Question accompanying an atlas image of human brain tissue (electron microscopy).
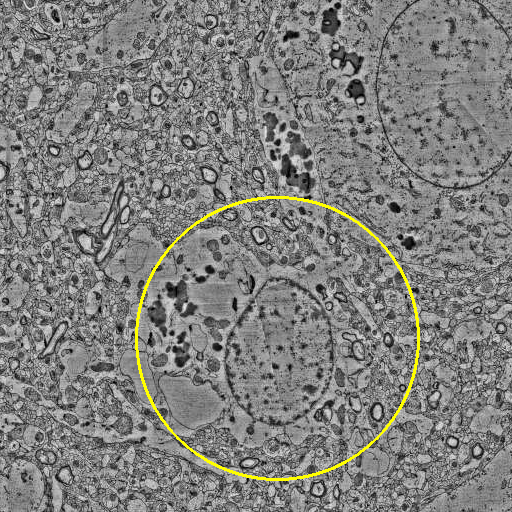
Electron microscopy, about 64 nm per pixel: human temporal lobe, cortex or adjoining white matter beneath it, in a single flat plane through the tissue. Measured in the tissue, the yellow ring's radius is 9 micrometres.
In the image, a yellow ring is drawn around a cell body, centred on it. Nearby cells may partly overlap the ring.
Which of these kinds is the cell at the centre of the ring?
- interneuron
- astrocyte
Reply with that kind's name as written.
astrocyte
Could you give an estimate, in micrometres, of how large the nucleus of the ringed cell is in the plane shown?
In this plane, approximately 9 by 7 micrometers.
